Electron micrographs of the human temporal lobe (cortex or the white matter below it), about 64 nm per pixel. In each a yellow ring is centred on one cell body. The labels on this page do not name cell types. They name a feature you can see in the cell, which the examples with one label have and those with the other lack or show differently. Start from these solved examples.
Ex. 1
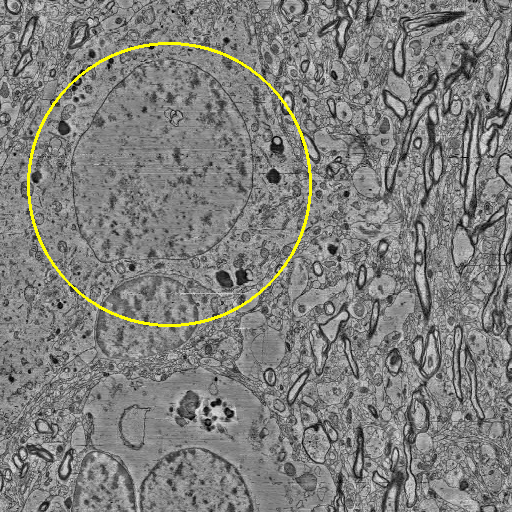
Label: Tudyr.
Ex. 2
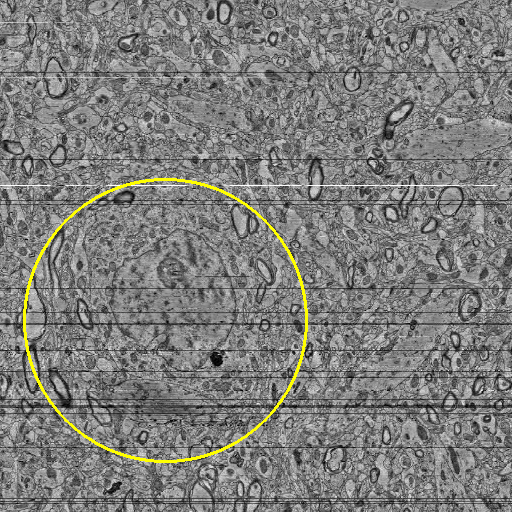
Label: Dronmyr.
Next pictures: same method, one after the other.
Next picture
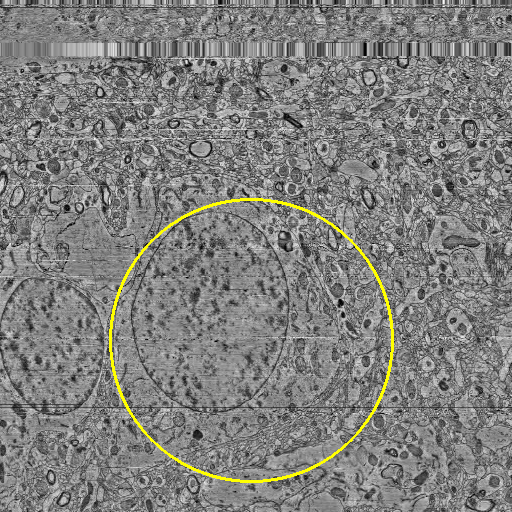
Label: Tudyr.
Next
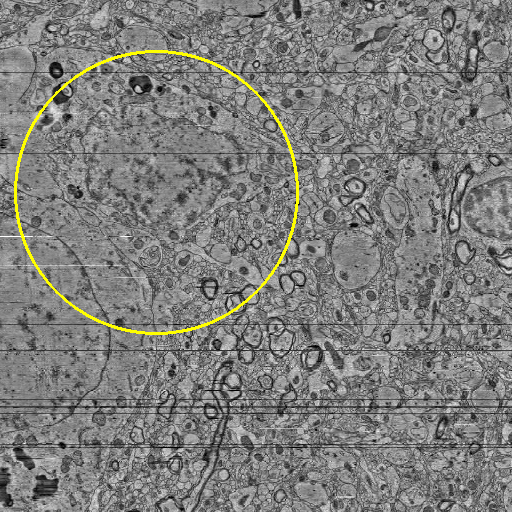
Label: Tudyr.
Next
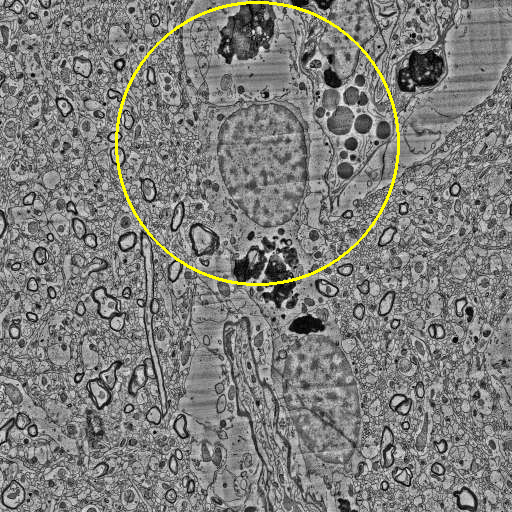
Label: Tudyr.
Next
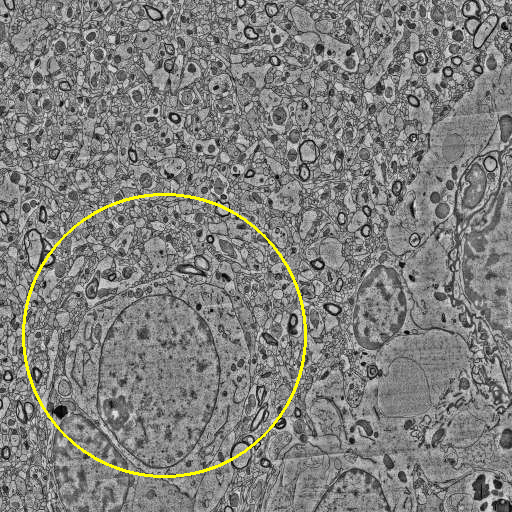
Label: Dronmyr.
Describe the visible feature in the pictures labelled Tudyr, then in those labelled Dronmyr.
Tudyr, no nucleolus seen; Dronmyr, nucleolus seen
